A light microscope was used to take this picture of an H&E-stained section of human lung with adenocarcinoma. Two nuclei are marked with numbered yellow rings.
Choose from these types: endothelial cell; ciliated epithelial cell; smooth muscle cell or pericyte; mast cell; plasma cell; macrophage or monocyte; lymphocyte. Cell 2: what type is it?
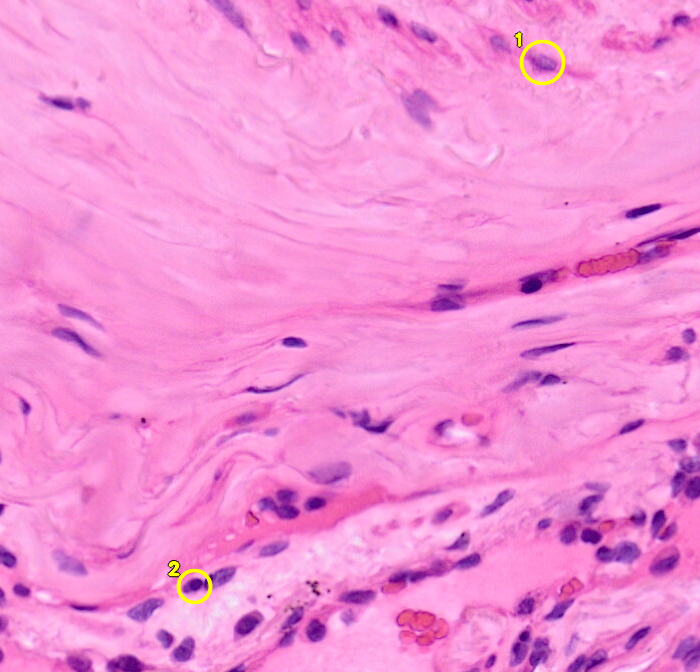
lymphocyte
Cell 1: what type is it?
smooth muscle cell or pericyte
